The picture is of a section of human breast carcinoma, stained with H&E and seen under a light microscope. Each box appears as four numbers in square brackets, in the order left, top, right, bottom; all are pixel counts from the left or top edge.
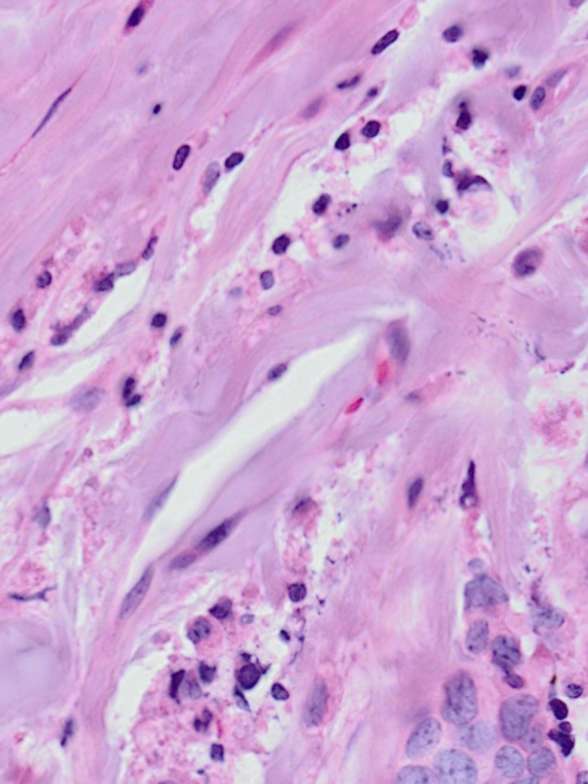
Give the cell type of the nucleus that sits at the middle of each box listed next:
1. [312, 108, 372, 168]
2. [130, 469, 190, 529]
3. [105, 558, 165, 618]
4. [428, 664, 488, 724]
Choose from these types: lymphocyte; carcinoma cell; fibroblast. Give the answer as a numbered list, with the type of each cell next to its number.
1. lymphocyte
2. fibroblast
3. fibroblast
4. carcinoma cell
